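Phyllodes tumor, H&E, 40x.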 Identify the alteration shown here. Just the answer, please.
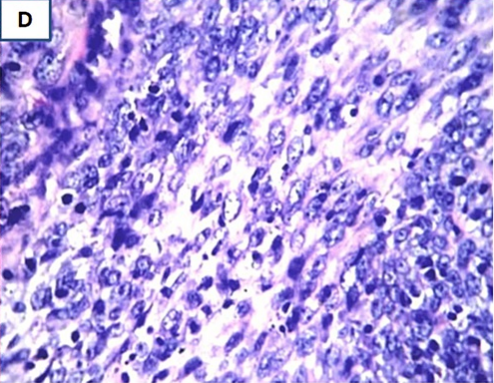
Pleomorphic nuclei.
